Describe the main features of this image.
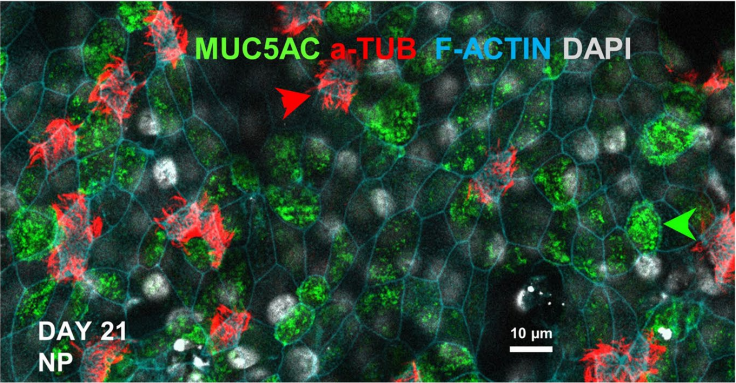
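Scattered cells carry dense red tufts of cilia projecting from their surface. Other cells have their cytoplasm packed with granular green material, typical of mucus-filled goblet cells. The two kinds lie intermingled, often side by side, among unlabelled cells.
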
